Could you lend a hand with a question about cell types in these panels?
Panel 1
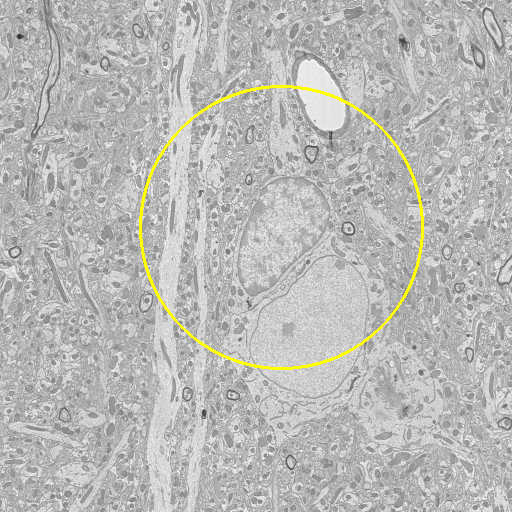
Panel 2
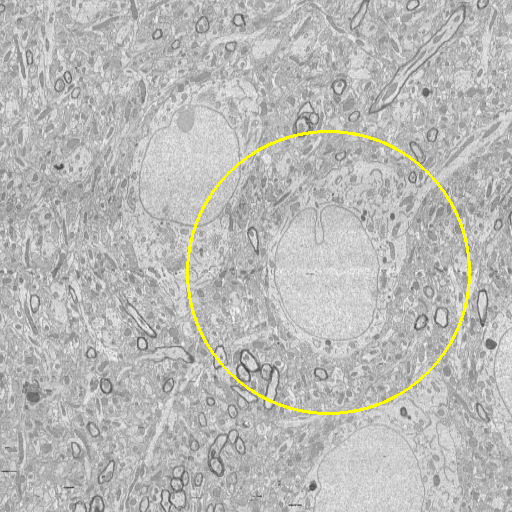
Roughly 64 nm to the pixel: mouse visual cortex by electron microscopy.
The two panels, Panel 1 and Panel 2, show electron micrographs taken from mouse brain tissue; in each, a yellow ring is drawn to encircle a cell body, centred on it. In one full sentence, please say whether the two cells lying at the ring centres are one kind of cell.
No, the cells at the ring centres in the two panels are two kinds of cell.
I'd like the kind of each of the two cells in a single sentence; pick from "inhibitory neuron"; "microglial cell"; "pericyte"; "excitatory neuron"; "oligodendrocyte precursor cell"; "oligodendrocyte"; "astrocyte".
The first ring marks an oligodendrocyte, and the second ring marks an excitatory neuron.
